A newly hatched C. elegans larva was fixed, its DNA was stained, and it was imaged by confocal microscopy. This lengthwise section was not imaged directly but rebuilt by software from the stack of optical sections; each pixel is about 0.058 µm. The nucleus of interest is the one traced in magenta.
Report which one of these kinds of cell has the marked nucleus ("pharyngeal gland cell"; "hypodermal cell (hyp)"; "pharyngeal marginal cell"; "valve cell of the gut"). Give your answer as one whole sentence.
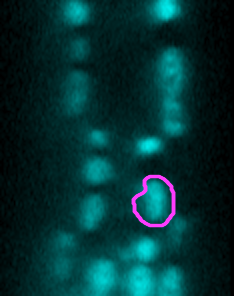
The marked cell is a pharyngeal marginal cell.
